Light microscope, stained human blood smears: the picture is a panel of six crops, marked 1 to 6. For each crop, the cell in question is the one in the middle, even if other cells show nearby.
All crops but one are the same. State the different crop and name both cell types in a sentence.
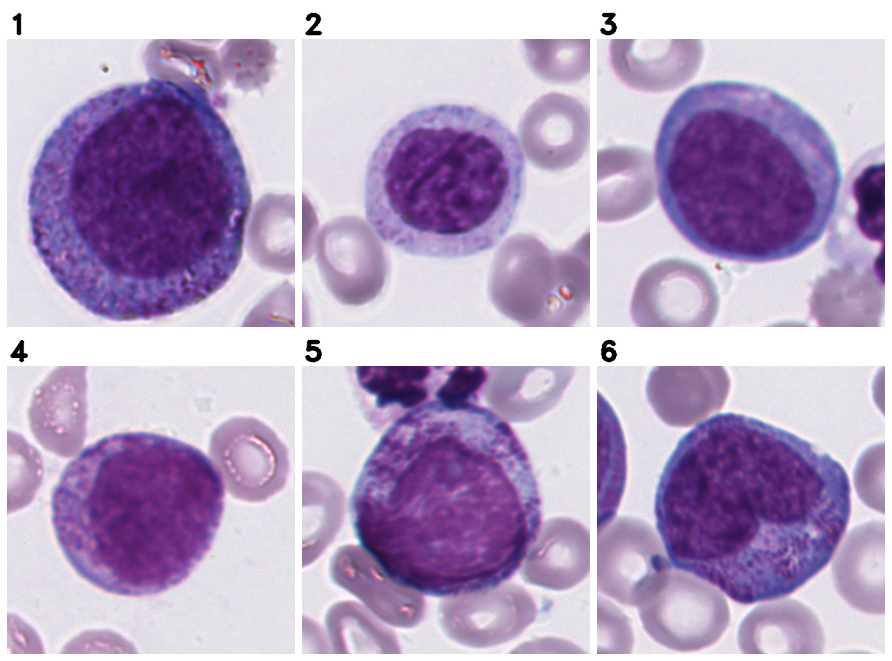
Found in all crops but one are promyelocytes; the exception, crop 2, contains a myelocyte.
